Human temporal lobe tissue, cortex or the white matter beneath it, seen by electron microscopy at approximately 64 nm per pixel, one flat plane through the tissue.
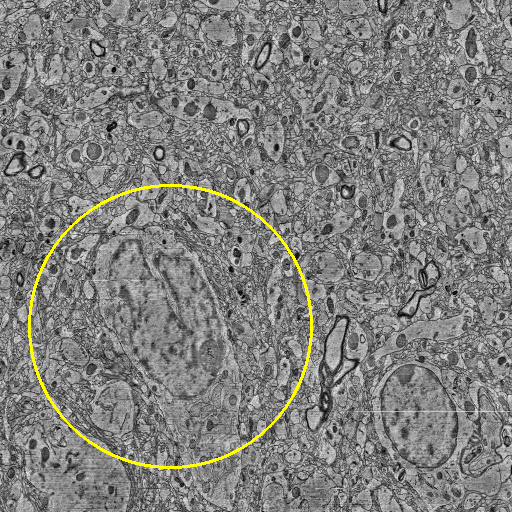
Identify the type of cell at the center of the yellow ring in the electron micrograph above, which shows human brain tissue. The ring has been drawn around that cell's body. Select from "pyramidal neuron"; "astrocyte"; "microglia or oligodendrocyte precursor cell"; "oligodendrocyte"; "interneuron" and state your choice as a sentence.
The yellow ring is centered on the body of an interneuron.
